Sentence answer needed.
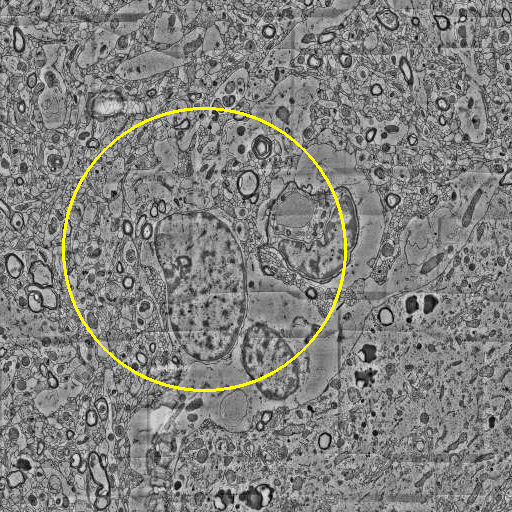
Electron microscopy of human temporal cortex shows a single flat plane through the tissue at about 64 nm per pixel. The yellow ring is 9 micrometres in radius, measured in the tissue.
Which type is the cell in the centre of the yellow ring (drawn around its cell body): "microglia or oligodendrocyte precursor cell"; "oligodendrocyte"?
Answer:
In the centre of the yellow ring is a microglial cell or oligodendrocyte precursor cell.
